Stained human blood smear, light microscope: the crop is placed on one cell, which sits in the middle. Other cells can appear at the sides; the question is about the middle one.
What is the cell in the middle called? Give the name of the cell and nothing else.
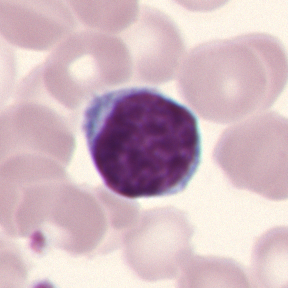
typical lymphocyte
